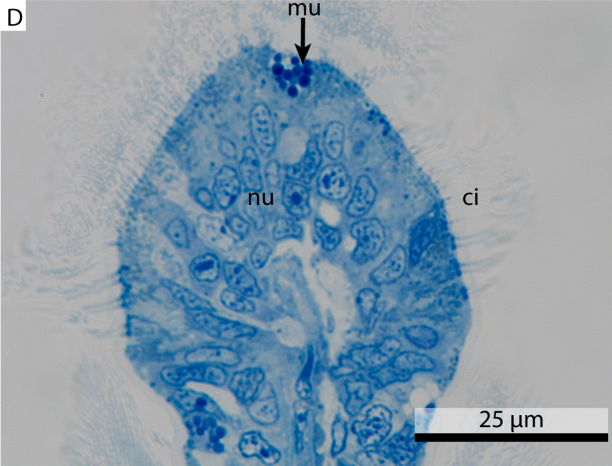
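This is a transverse section through the rounded, dome-shaped end of a gill filament, lined by a ciliated epithelium with densely blue-stained cytoplasm. Many oval to elongate nuclei with speckled chromatin and dark nucleoli fill the cells. A tight cluster of round, dark blue mucus granules sits at the apex, just under the frontal surface. Fine cilia stand out along the surface, and pale spaces lie in the middle of the filament.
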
